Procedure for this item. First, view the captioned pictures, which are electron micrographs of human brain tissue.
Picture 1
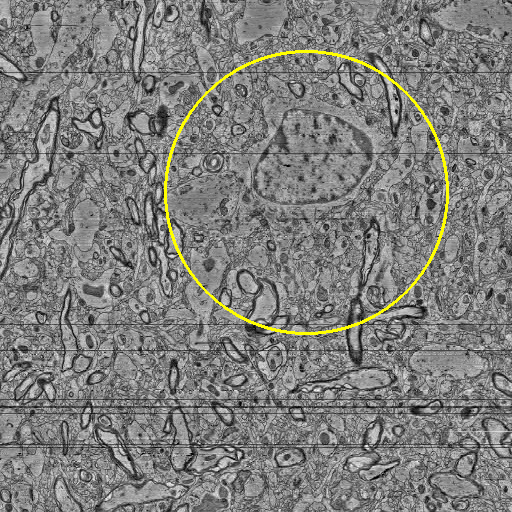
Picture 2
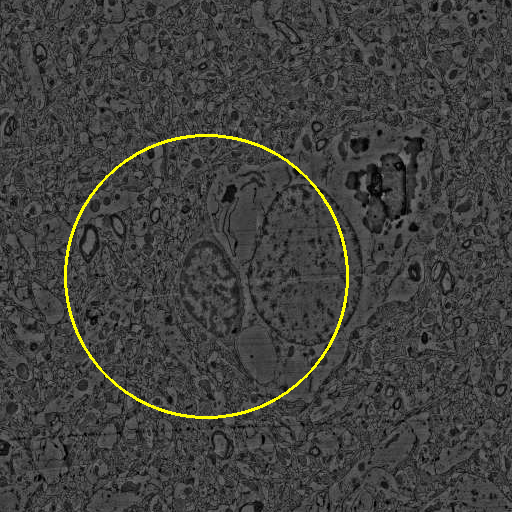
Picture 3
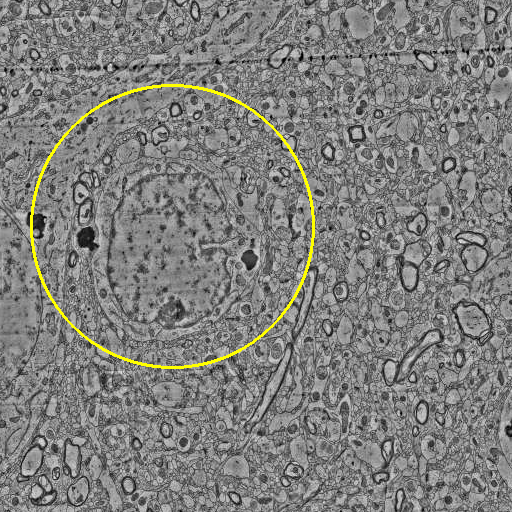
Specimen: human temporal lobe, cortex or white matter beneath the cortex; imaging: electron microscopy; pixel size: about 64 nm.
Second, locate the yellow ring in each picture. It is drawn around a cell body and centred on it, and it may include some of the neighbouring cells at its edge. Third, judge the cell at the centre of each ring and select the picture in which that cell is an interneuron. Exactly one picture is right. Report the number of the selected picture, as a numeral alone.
3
